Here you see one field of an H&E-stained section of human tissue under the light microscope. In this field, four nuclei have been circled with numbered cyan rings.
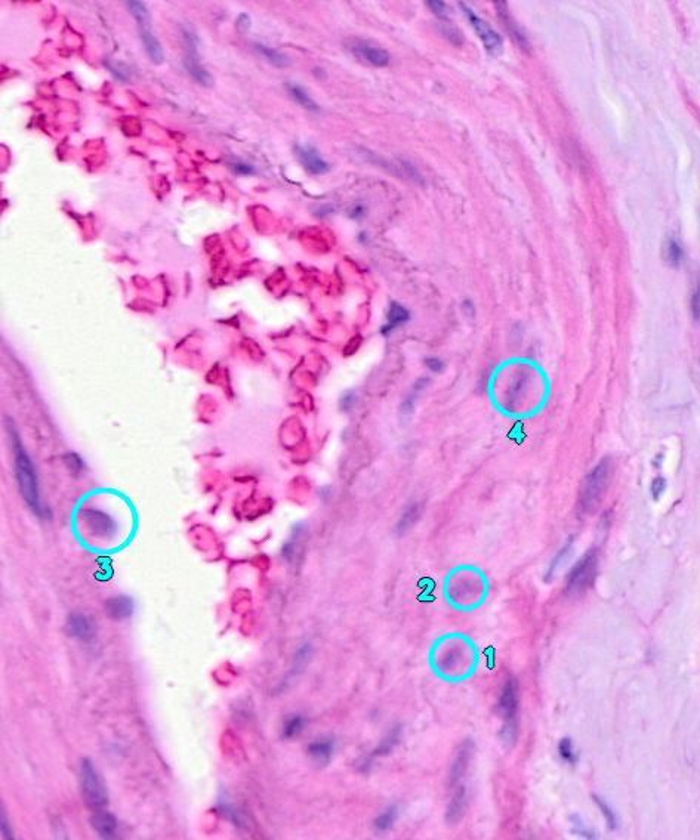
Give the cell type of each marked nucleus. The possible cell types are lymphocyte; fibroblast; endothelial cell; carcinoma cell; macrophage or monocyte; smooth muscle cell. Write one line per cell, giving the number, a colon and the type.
1: smooth muscle cell
2: smooth muscle cell
3: endothelial cell
4: smooth muscle cell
